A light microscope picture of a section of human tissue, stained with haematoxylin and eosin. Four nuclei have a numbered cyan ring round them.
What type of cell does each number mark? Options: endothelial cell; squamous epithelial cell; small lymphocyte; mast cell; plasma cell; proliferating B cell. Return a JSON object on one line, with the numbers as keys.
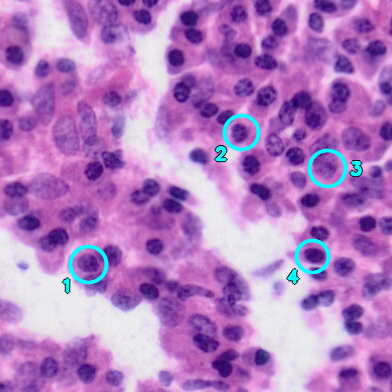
{"1": "plasma cell", "2": "plasma cell", "3": "squamous epithelial cell", "4": "plasma cell"}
